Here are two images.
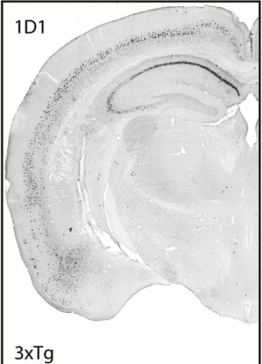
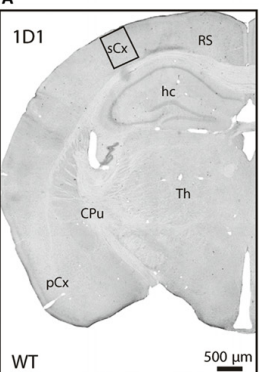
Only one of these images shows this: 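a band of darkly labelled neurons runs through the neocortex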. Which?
The first image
